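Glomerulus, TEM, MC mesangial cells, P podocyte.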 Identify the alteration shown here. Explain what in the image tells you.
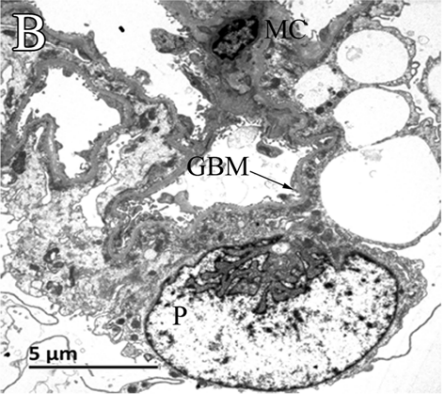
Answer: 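Foot processes diffusely effaced. Along the basement membrane the podocyte cytoplasm forms a continuous flat layer. No regularly spaced separate foot processes line the membrane.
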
